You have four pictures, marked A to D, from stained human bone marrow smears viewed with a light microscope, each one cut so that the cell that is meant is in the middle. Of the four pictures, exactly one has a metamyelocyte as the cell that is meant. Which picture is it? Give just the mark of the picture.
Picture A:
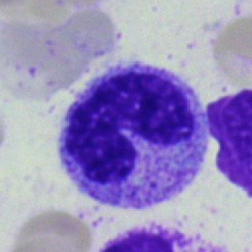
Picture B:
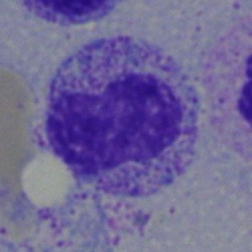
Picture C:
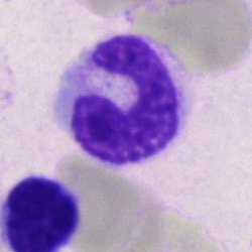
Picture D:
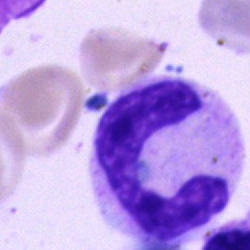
B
